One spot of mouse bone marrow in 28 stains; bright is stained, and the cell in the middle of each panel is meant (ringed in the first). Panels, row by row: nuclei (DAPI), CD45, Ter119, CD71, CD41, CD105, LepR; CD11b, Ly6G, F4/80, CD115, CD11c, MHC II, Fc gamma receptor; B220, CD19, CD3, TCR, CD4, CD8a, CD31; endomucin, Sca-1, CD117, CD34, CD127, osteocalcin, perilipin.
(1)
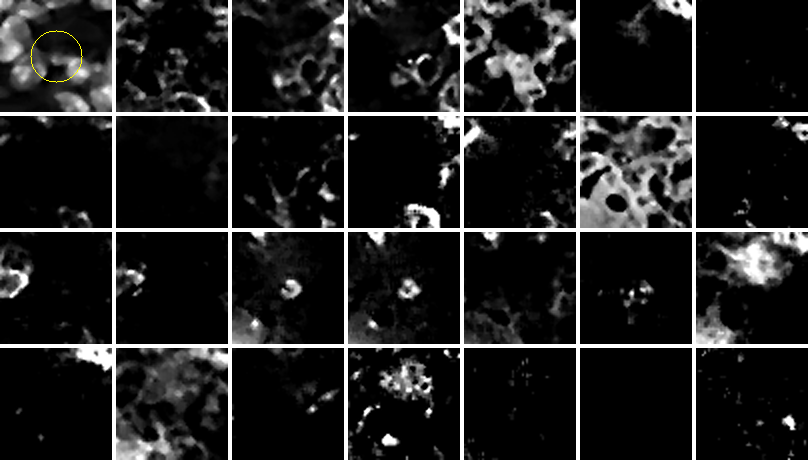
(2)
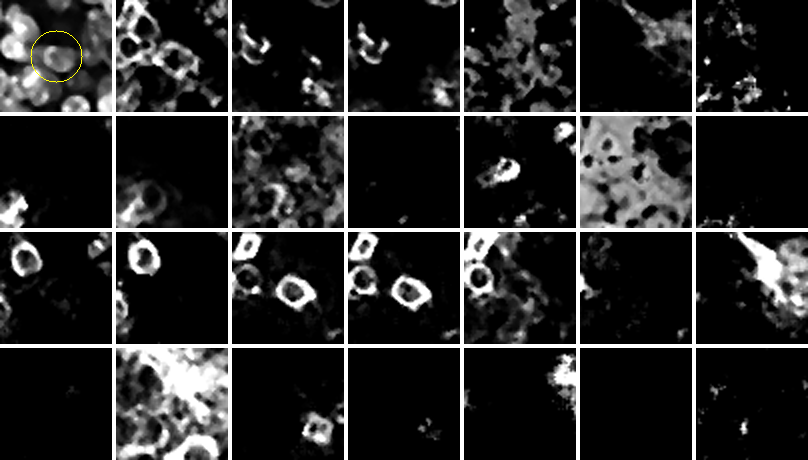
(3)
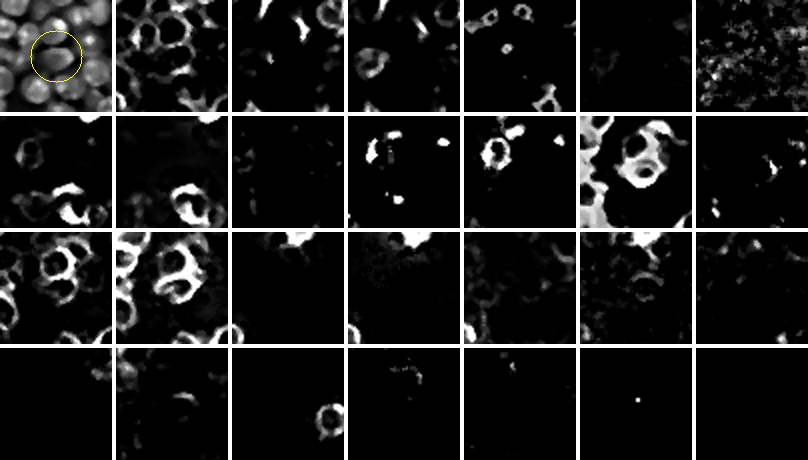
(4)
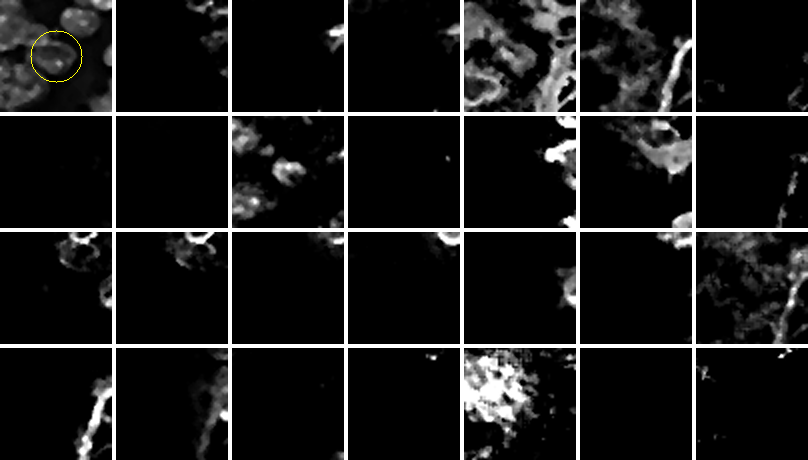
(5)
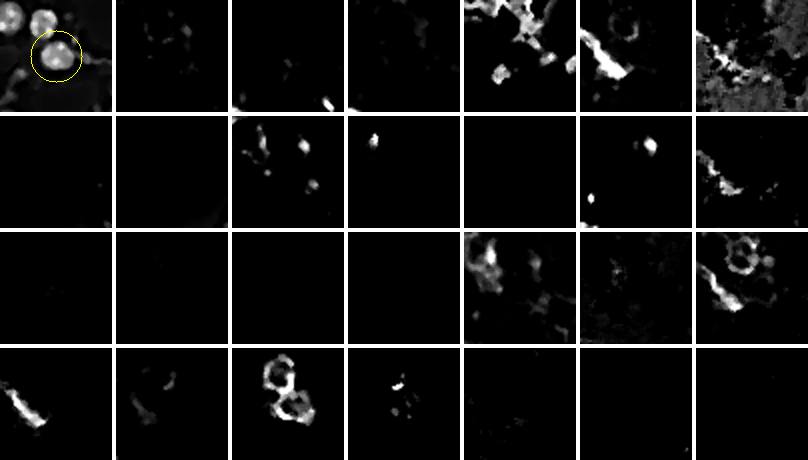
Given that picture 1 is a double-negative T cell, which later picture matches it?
2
